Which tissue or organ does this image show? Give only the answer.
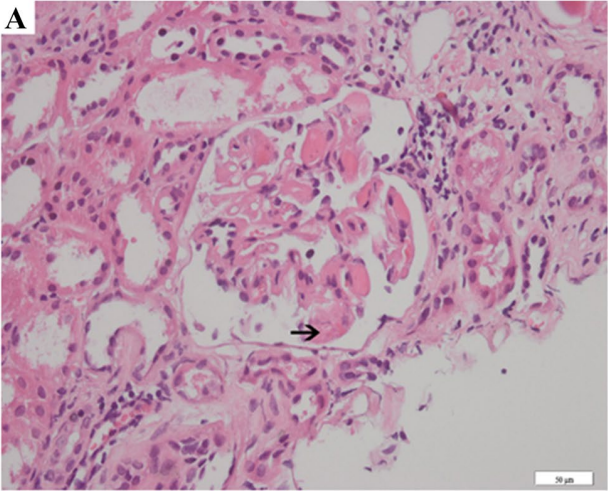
glomerulus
